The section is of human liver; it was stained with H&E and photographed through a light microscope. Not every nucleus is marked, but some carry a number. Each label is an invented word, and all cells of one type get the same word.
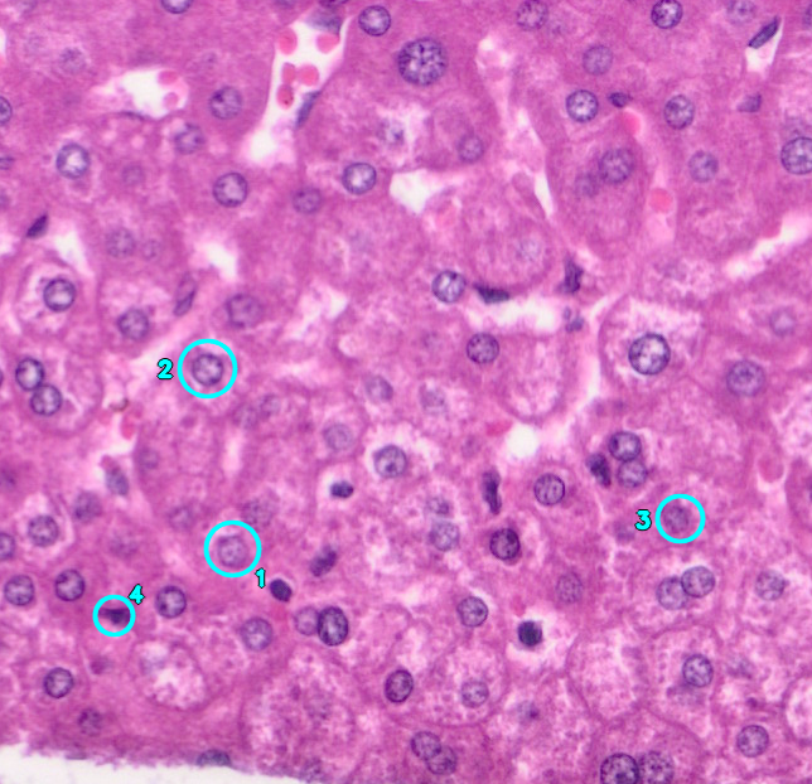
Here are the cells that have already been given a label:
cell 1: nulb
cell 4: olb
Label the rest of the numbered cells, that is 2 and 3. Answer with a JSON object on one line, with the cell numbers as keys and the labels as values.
{"2": "nulb", "3": "nulb"}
